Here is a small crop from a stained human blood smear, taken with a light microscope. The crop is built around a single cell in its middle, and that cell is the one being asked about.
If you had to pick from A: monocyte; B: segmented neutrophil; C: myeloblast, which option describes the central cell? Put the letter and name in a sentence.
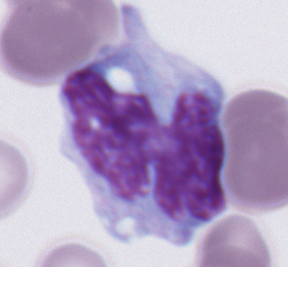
Option A is correct here, and the cell in the middle is a monocyte.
